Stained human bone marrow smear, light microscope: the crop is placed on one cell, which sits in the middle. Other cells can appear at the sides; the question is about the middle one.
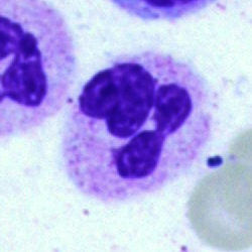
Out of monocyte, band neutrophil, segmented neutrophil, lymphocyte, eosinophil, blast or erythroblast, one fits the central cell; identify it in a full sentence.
The centrally located cell in the crop is a segmented neutrophil.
